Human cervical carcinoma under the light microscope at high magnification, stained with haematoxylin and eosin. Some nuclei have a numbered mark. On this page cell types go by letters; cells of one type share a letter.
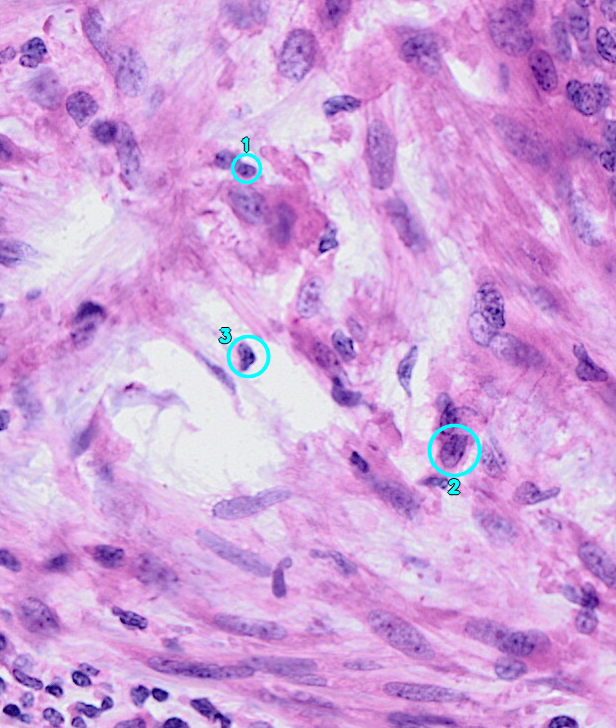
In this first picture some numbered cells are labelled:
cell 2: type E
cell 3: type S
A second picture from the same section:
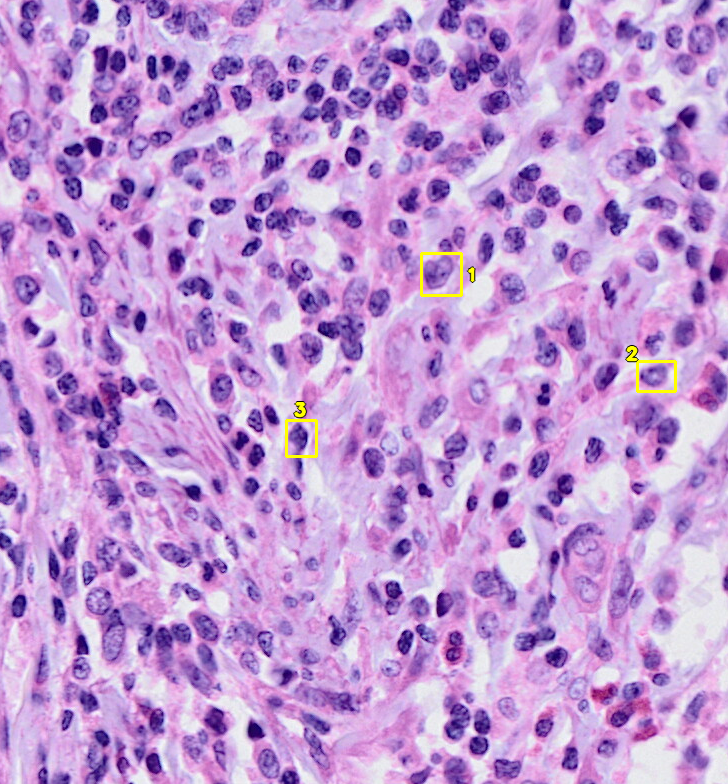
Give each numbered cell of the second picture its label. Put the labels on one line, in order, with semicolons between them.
type E; type E; type S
